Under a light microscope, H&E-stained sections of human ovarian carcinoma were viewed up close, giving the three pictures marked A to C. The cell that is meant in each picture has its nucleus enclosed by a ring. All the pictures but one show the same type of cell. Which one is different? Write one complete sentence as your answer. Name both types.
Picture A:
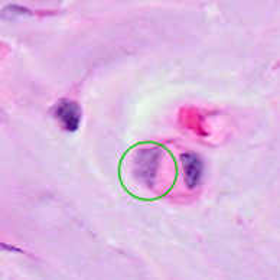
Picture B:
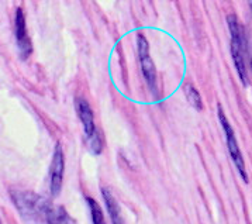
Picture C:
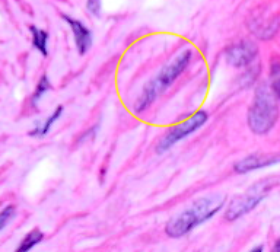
Unlike the rest, which show fibroblasts, picture A shows an endothelial cell.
